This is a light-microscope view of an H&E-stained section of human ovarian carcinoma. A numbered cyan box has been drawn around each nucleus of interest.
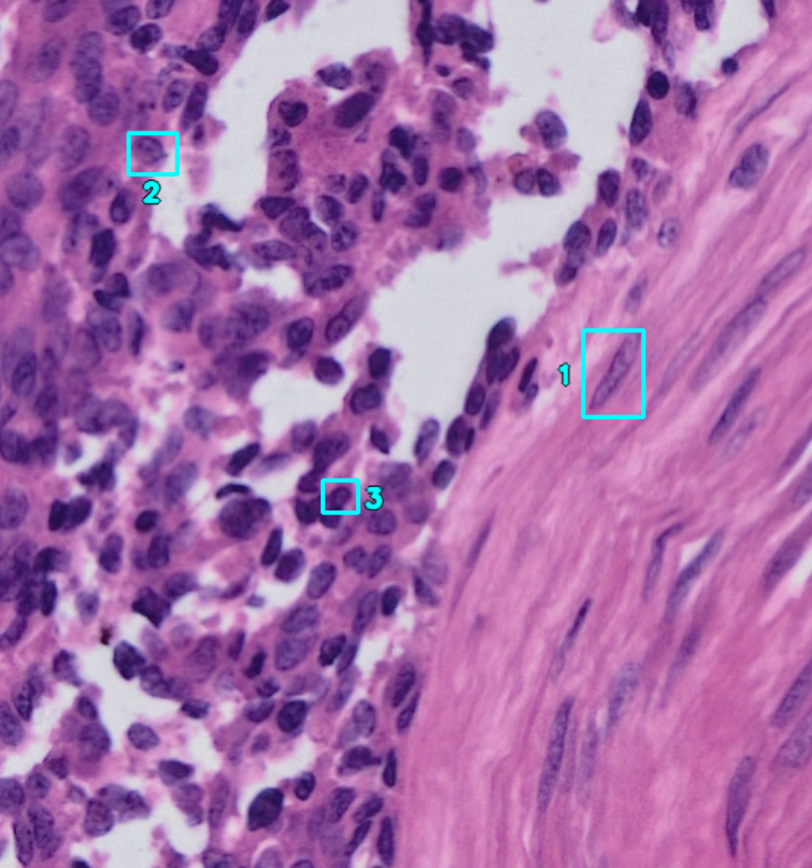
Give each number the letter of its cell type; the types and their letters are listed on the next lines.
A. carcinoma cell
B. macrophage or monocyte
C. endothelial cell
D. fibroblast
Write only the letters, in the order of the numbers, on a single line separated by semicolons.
D; B; A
